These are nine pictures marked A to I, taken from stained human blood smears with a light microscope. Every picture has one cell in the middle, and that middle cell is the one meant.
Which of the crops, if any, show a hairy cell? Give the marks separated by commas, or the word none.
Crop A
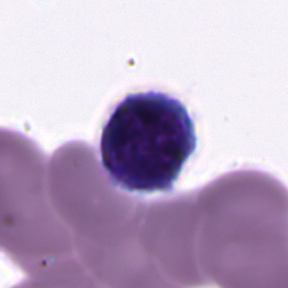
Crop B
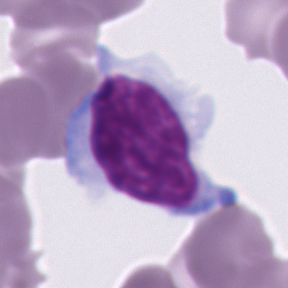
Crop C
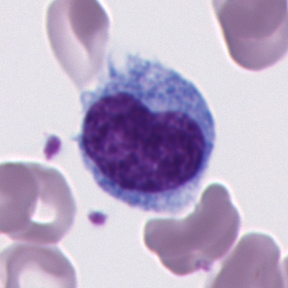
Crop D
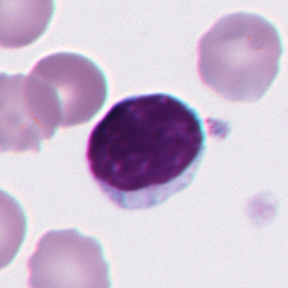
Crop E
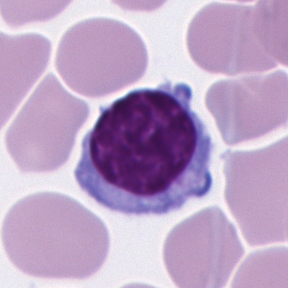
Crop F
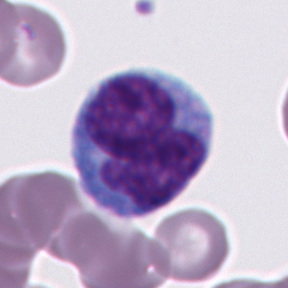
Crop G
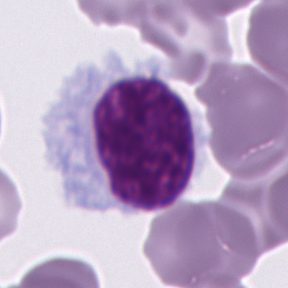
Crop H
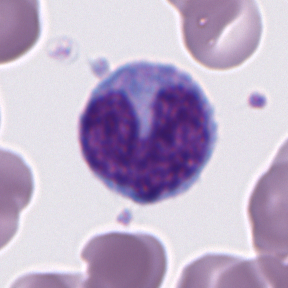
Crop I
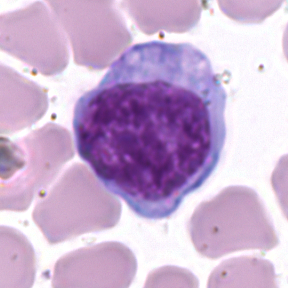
B, G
